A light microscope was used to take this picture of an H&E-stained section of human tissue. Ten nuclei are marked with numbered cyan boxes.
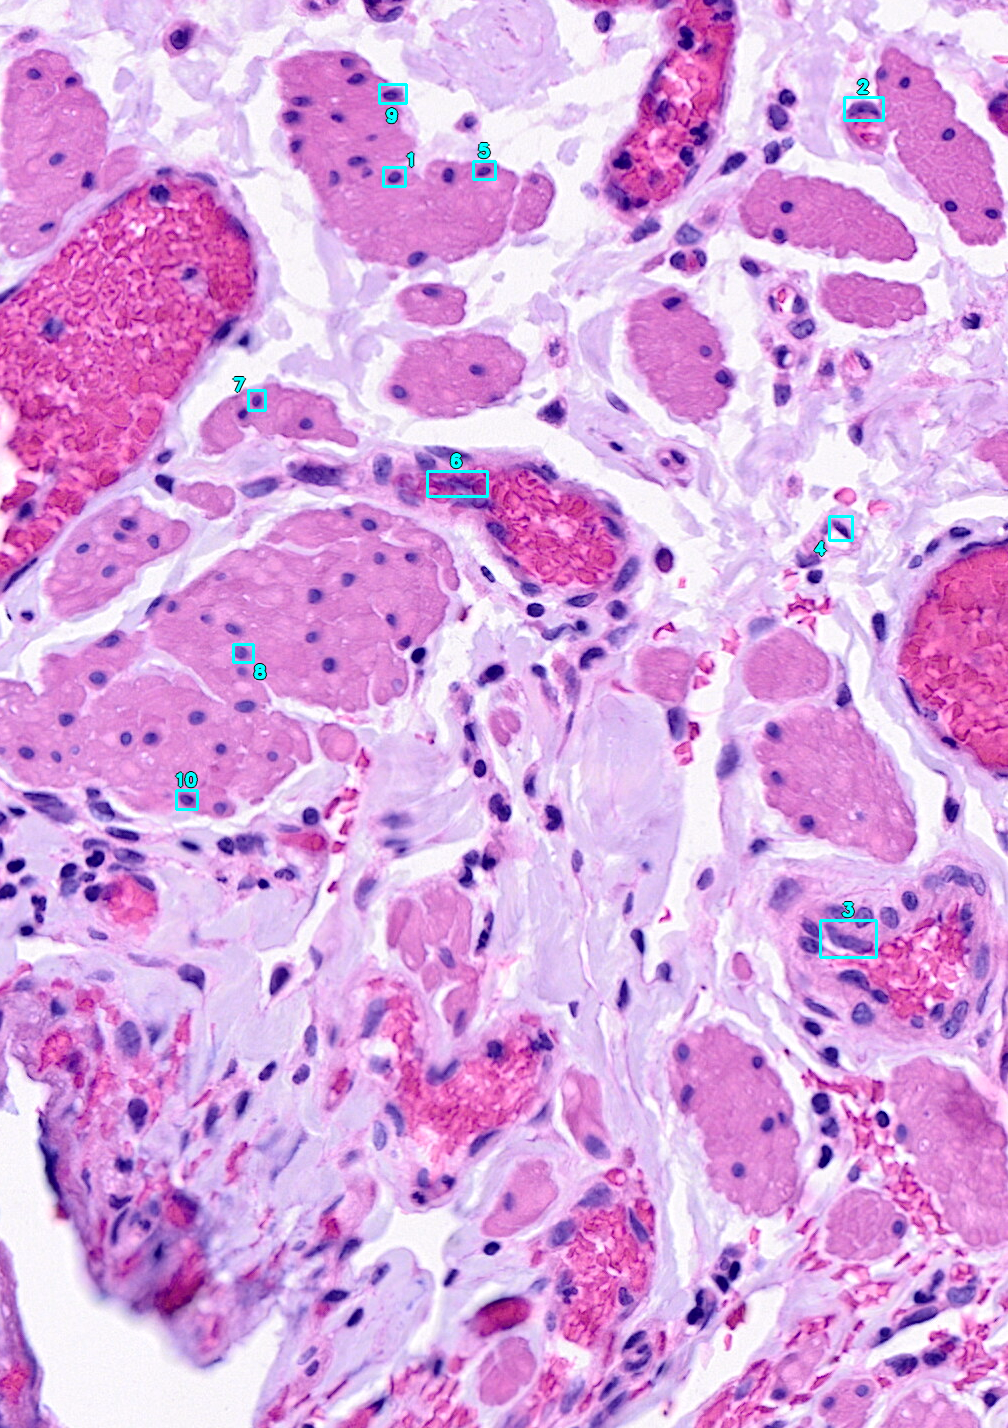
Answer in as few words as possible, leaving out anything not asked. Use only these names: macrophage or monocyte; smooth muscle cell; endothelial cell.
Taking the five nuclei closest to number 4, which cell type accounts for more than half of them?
macrophage or monocyte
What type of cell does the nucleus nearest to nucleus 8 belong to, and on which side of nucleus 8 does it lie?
a smooth muscle cell; below nucleus 8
